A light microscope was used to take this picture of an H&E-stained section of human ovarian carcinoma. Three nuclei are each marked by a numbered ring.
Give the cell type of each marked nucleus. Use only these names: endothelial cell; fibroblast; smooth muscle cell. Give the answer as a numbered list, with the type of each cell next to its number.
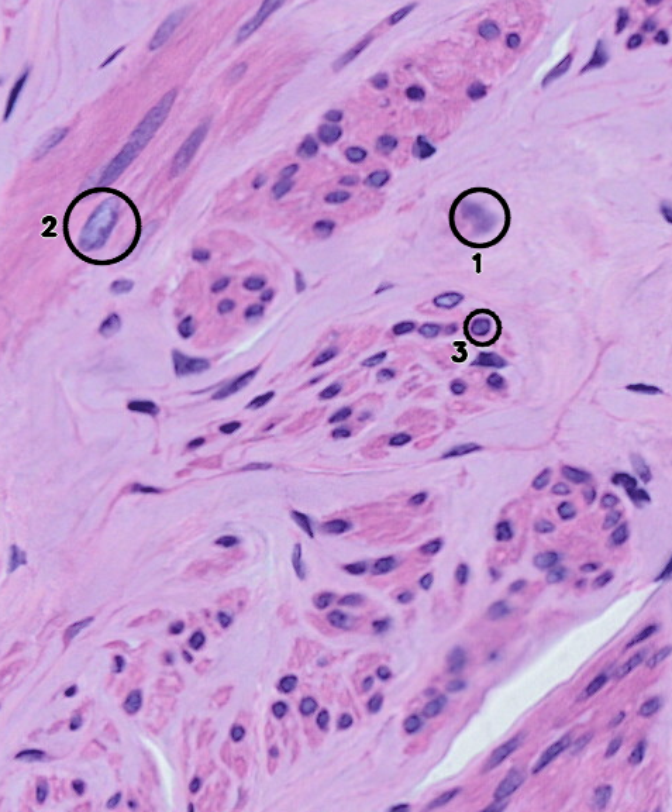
1. fibroblast
2. smooth muscle cell
3. smooth muscle cell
